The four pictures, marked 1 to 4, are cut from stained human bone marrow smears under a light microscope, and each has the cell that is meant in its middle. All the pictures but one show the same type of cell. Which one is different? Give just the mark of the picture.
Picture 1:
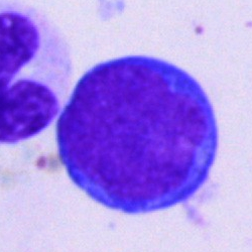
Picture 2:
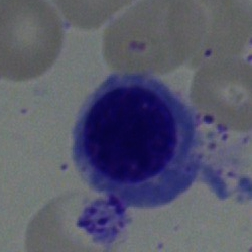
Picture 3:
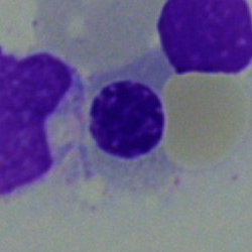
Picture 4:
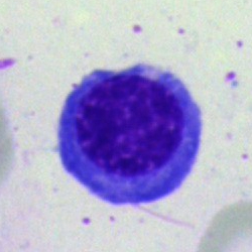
1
